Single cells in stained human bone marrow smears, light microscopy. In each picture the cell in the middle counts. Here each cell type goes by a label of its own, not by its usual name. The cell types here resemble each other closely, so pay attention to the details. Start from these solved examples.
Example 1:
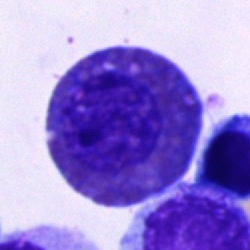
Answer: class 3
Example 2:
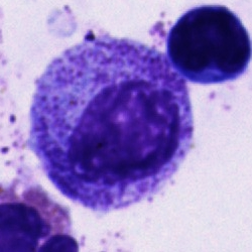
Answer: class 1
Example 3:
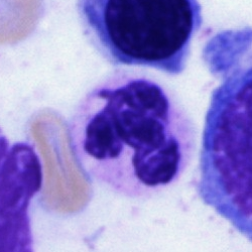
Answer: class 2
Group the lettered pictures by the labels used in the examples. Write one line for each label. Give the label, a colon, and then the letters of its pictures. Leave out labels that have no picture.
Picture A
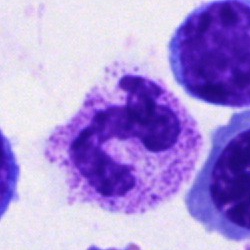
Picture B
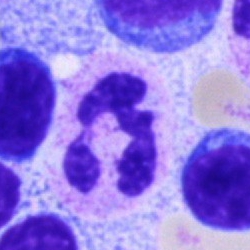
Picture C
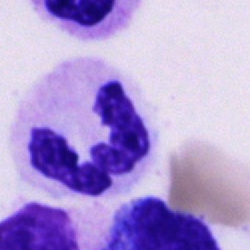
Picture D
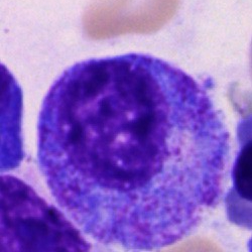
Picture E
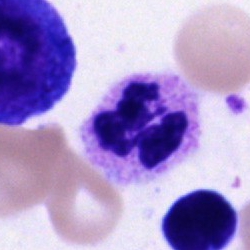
class 1: D
class 2: A, B, C, E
